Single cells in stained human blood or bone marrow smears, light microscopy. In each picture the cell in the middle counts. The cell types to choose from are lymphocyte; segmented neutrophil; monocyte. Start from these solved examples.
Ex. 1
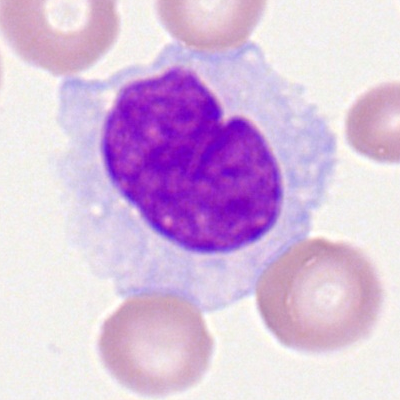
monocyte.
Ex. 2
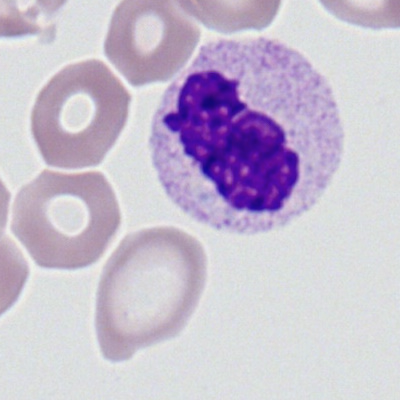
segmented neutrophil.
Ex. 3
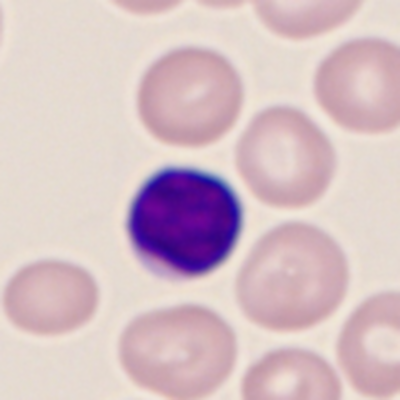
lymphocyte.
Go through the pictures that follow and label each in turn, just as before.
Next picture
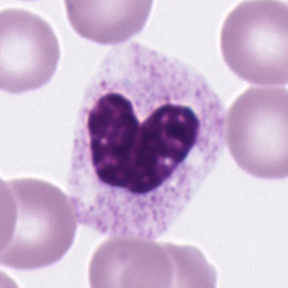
segmented neutrophil.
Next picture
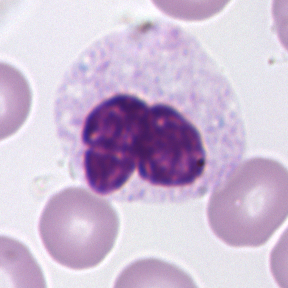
segmented neutrophil.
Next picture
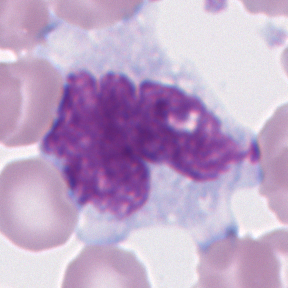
monocyte.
